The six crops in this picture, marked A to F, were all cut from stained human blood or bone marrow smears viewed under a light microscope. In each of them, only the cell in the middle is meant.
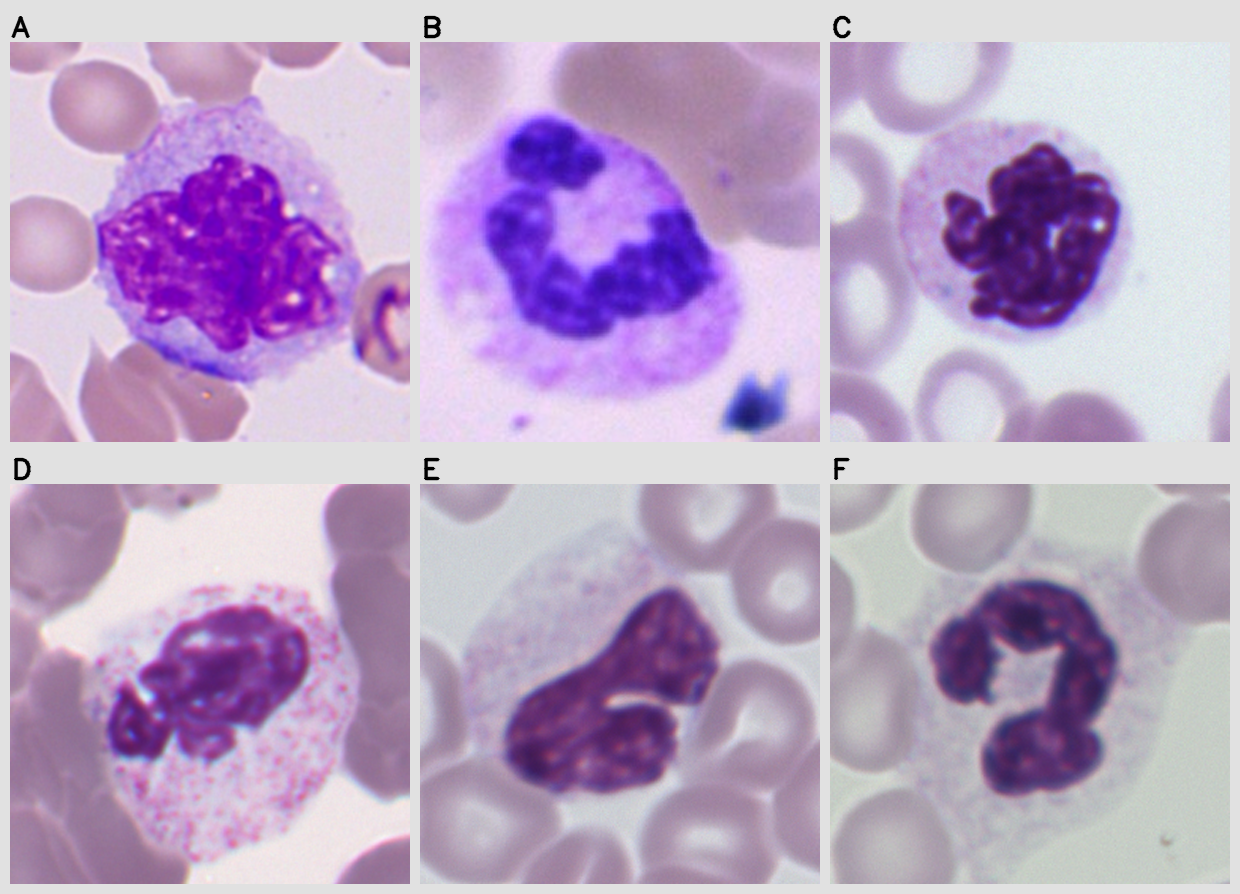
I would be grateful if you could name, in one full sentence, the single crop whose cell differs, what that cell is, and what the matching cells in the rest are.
The outlier here is crop A, which is a monocyte, while the remainder show neutrophils.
